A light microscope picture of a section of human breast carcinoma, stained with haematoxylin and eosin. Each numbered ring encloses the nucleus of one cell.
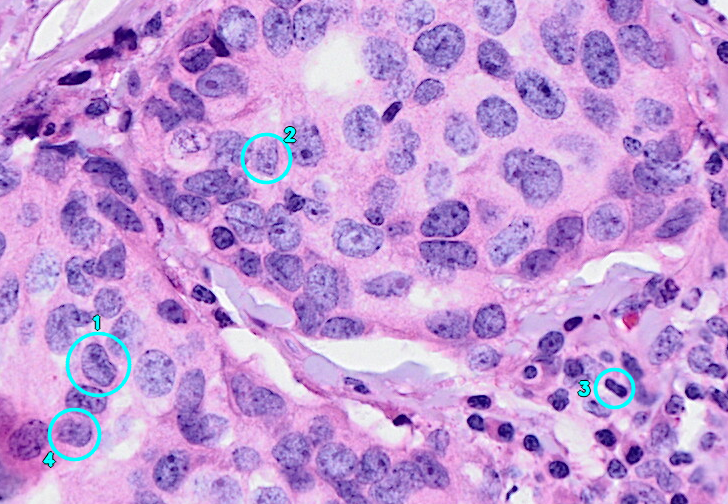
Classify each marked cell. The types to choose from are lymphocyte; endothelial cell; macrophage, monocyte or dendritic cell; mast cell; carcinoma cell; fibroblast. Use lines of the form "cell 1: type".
cell 1: carcinoma cell
cell 2: carcinoma cell
cell 3: lymphocyte
cell 4: carcinoma cell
